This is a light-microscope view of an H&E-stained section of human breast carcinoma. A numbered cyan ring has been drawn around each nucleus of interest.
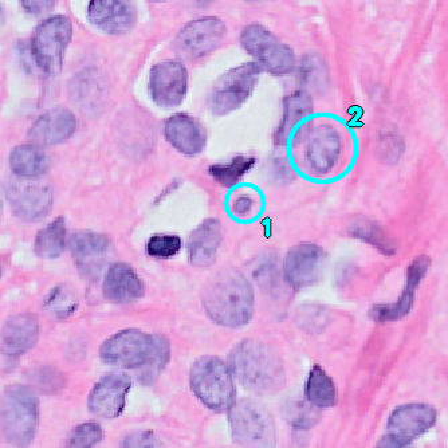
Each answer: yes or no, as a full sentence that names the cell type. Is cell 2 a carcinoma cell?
Yes, the cell pointed out as number 2 is a carcinoma cell.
